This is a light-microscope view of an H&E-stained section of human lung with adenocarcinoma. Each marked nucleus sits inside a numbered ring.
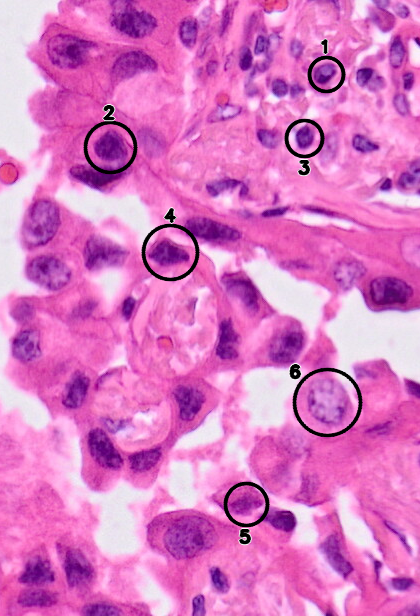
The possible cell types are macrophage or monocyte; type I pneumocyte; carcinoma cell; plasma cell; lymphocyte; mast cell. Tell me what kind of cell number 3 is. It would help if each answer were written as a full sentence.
Belonging to a lymphocyte is the nucleus that carries the number 3.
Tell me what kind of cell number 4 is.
The correct answer for cell 4 is a carcinoma cell.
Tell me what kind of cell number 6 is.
Cell number 6 in this section is a carcinoma cell.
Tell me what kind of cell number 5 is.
Looking at the numbered marks, cell 5 is a carcinoma cell.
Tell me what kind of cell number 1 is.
The cell indicated with the number 1 is classed as a plasma cell.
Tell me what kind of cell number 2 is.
The mark numbered 2 indicates the nucleus of a carcinoma cell.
